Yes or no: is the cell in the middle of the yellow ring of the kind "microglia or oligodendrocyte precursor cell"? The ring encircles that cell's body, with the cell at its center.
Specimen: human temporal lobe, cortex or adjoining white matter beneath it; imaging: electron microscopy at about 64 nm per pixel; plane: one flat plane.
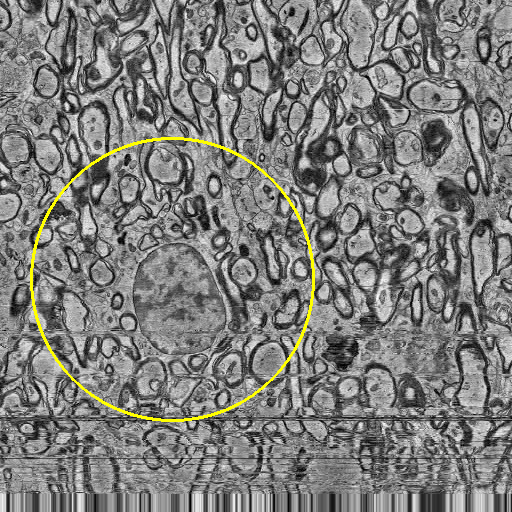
yes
